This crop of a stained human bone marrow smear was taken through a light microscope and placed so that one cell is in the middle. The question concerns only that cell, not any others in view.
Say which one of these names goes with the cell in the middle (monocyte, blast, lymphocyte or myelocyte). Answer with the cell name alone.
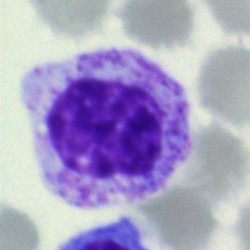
myelocyte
